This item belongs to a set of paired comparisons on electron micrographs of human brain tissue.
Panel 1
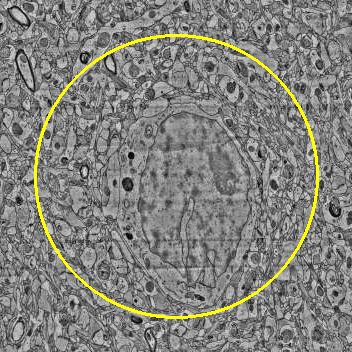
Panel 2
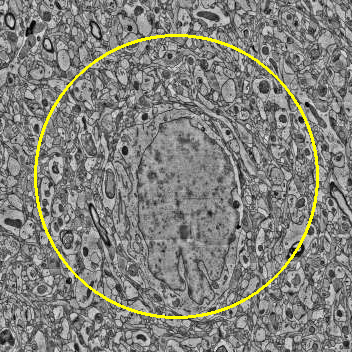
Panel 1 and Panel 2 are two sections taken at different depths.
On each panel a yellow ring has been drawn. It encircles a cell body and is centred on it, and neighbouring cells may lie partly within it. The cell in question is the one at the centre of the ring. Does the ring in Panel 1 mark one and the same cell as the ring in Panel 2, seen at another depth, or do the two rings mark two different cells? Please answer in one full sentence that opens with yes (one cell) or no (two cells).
Yes, both yellow rings were placed on the same cell.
